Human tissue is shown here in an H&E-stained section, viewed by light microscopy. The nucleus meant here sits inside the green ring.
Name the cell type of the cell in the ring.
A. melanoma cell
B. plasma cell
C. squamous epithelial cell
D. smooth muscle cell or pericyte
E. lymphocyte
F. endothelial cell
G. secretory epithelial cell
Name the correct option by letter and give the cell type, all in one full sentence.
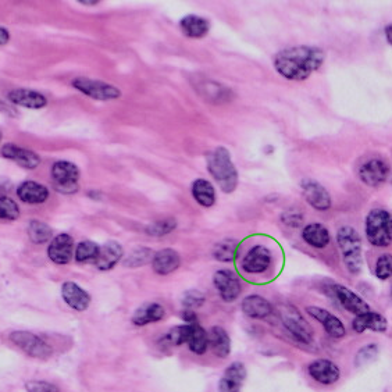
Since the cell in the ring is a plasma cell, option B is correct.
